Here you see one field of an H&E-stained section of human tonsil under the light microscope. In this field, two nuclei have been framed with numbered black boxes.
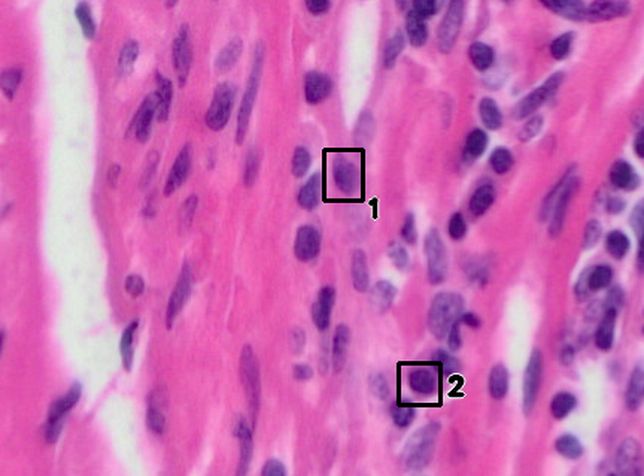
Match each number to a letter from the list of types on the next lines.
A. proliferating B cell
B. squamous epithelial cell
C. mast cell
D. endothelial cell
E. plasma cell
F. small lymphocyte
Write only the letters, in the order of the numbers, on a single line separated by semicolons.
D; E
